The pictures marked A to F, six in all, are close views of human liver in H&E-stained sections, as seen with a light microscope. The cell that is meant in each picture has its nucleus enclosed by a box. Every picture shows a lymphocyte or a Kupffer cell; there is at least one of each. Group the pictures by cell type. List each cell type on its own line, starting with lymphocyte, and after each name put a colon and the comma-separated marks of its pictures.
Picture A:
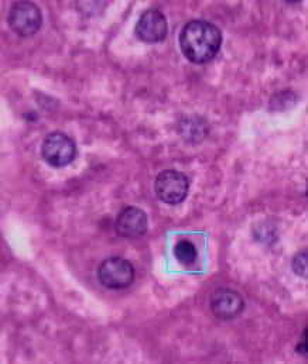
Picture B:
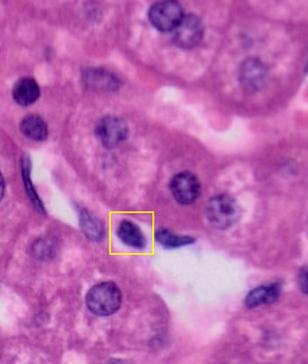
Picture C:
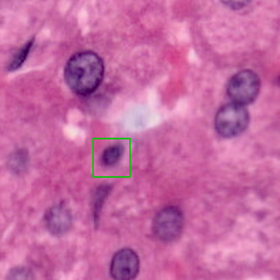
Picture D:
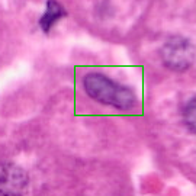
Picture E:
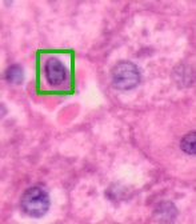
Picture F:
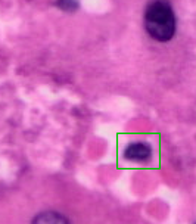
lymphocyte: A, B, C, F
Kupffer cell: D, E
